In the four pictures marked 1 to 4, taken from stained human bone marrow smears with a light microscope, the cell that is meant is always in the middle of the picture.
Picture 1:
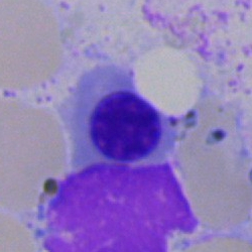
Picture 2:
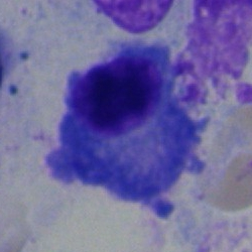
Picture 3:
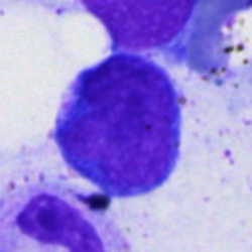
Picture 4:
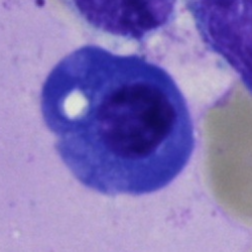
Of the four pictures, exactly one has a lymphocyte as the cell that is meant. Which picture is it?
3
